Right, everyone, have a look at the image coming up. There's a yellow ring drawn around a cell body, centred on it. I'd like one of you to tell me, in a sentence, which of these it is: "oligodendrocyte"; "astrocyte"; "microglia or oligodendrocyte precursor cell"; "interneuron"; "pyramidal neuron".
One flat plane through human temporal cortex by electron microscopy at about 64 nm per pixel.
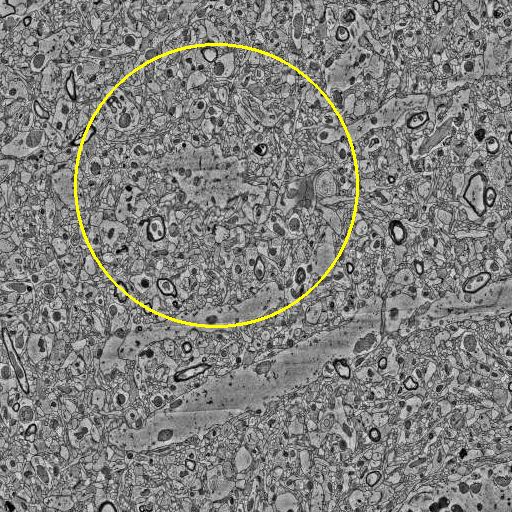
The yellow ring sits on an interneuron.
